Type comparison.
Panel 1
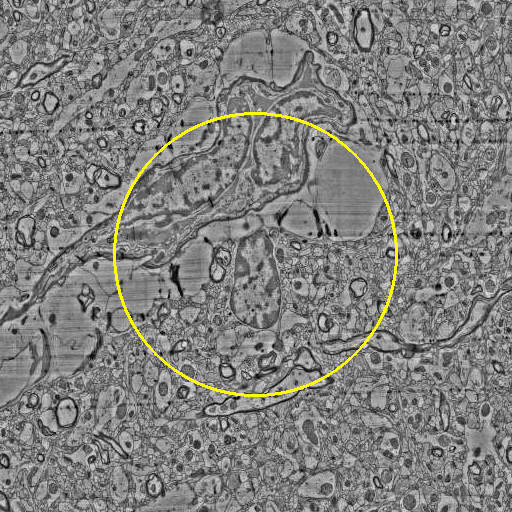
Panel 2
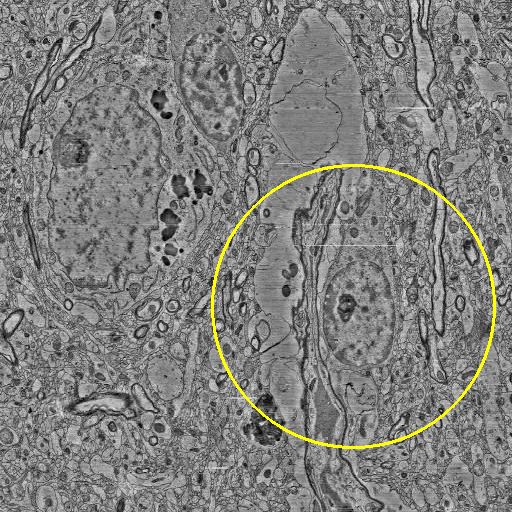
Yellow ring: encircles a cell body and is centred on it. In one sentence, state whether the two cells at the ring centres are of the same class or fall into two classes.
In these panels, the two cells at the ring centres fall into two classes.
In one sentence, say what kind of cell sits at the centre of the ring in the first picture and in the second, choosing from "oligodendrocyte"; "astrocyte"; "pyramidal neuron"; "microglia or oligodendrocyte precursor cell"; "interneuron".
The first picture's ringed cell is a microglial cell or oligodendrocyte precursor cell, while the second picture's is an oligodendrocyte.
